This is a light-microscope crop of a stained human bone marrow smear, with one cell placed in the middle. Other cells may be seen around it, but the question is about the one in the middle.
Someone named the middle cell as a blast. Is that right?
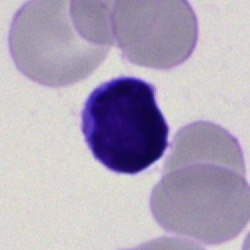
no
